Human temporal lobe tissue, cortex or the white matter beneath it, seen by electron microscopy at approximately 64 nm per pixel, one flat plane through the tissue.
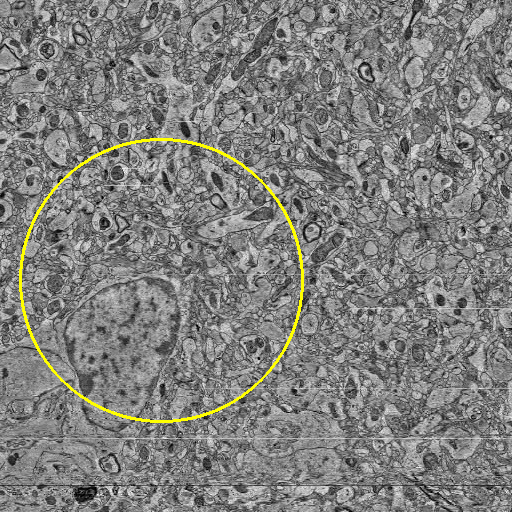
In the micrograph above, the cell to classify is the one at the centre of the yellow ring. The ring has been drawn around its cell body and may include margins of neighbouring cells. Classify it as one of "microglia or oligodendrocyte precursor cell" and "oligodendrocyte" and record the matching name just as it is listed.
microglia or oligodendrocyte precursor cell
